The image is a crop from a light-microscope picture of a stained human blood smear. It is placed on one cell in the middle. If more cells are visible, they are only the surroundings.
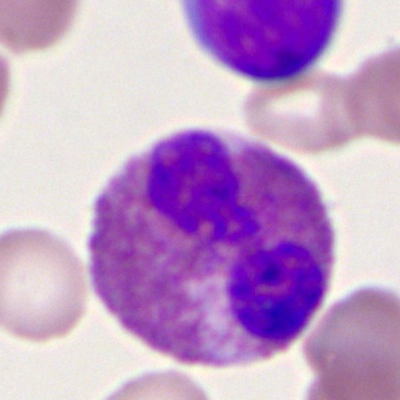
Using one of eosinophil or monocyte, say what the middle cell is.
eosinophil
